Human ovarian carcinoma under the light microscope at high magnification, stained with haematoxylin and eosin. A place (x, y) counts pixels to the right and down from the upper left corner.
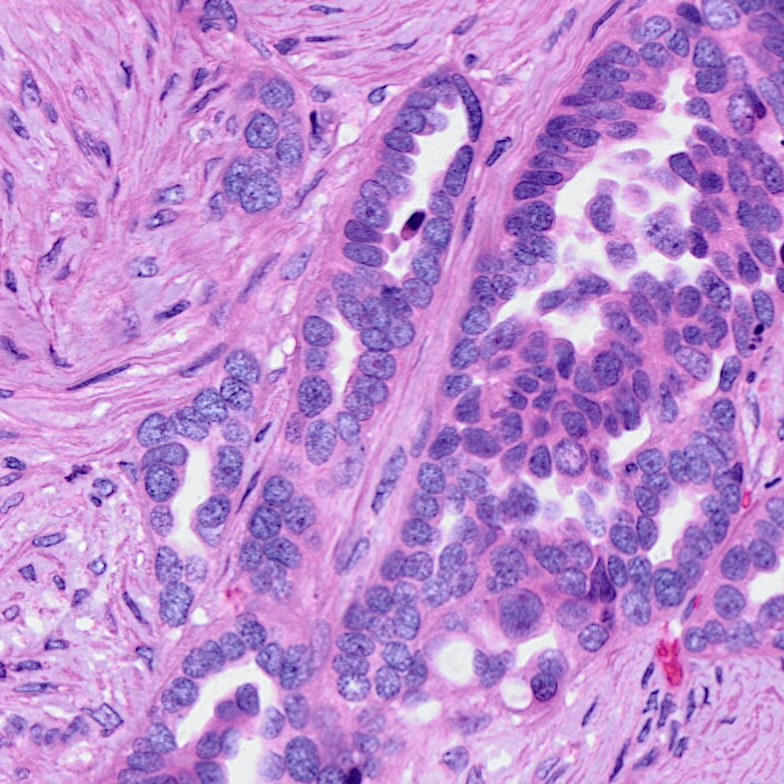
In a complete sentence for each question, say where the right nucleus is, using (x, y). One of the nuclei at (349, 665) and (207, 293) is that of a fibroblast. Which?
The pair contains one nucleus of a fibroblast, namely the one at (207, 293).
